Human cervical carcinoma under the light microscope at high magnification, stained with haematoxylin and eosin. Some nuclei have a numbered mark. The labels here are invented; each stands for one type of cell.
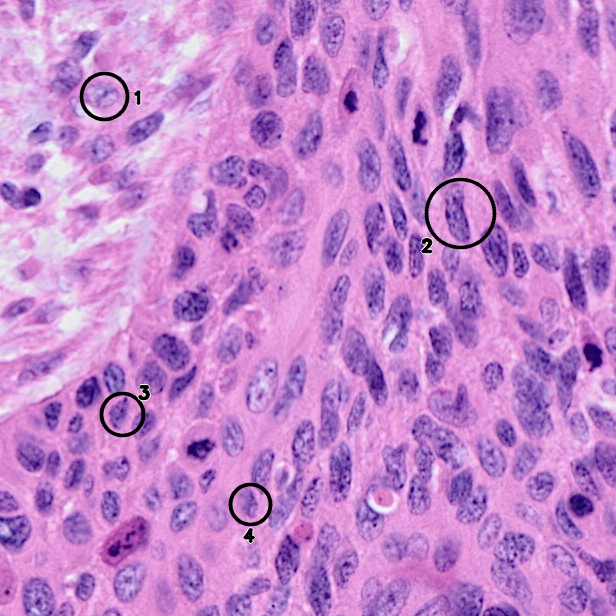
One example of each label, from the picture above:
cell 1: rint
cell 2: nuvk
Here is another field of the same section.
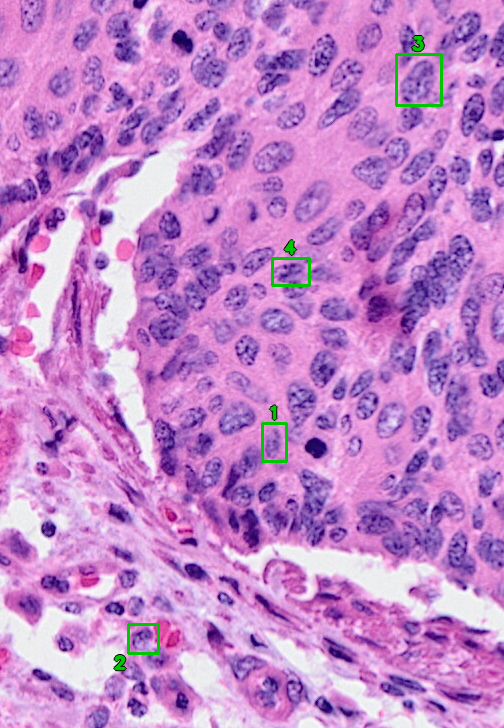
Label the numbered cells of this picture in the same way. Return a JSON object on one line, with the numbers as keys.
{"1": "nuvk", "2": "rint", "3": "nuvk", "4": "nuvk"}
